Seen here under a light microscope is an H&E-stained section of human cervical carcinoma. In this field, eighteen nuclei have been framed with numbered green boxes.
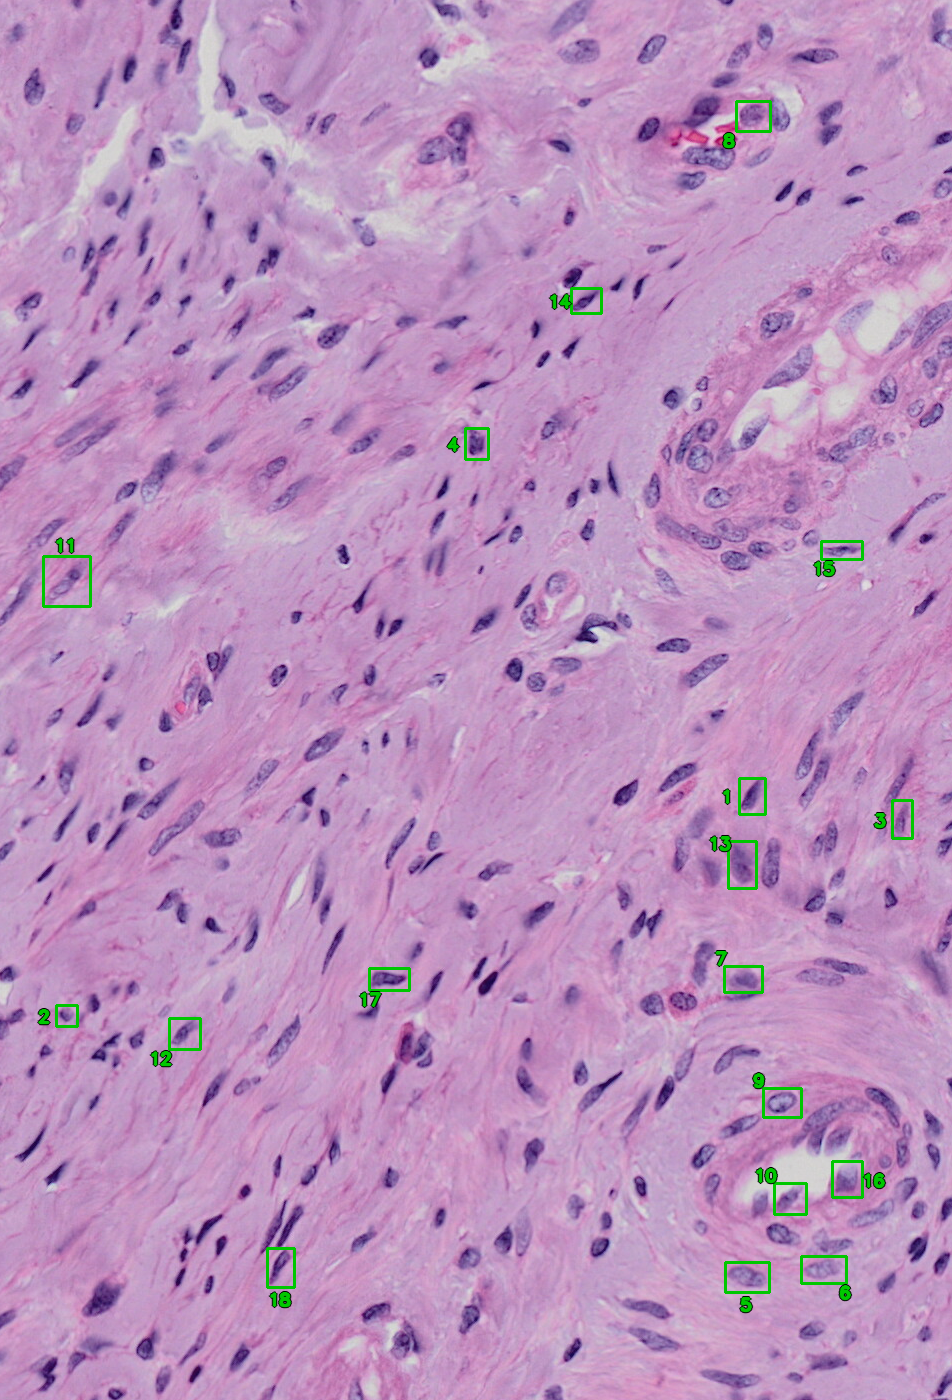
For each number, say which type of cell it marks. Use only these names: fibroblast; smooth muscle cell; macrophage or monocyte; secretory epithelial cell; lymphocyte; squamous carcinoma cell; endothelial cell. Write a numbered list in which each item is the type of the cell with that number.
1. fibroblast
2. smooth muscle cell
3. smooth muscle cell
4. fibroblast
5. smooth muscle cell
6. smooth muscle cell
7. fibroblast
8. endothelial cell
9. smooth muscle cell
10. endothelial cell
11. smooth muscle cell
12. fibroblast
13. fibroblast
14. fibroblast
15. fibroblast
16. endothelial cell
17. fibroblast
18. fibroblast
